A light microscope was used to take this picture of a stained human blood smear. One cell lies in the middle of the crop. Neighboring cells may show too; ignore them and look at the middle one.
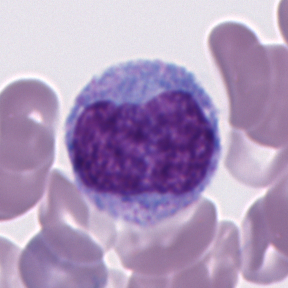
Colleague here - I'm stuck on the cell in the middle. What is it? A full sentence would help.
The centrally located cell in the crop is a monocyte.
